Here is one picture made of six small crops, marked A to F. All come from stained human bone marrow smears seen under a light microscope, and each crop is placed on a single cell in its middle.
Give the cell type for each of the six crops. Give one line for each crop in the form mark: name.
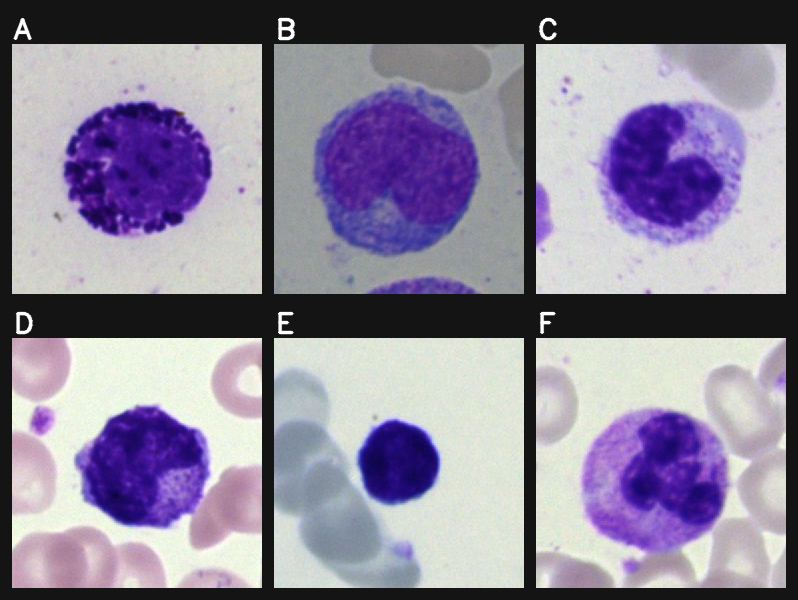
A: basophil
B: blast
C: band neutrophil
D: metamyelocyte
E: lymphocyte
F: segmented neutrophil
